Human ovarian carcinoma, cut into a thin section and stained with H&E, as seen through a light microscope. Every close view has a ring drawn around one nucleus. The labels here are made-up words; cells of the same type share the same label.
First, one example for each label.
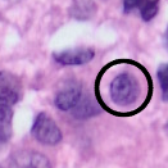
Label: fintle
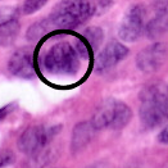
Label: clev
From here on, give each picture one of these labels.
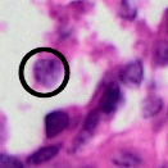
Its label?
fintle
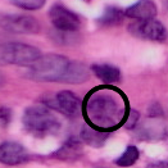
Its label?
clev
